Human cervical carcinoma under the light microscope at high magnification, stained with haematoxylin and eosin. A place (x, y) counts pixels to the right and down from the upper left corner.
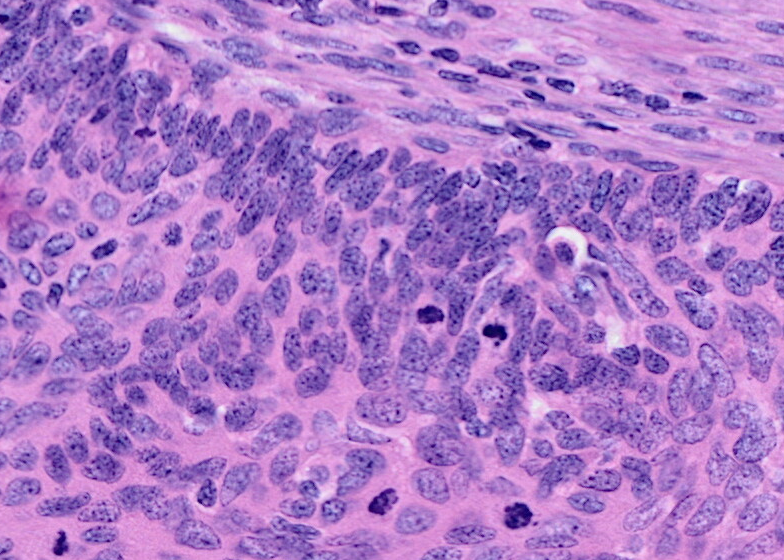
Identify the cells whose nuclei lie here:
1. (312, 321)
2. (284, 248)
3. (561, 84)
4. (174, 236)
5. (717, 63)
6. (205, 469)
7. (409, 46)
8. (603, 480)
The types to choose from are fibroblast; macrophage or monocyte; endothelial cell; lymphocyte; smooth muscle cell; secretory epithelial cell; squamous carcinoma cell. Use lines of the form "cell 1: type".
cell 1: squamous carcinoma cell
cell 2: squamous carcinoma cell
cell 3: lymphocyte
cell 4: squamous carcinoma cell
cell 5: smooth muscle cell
cell 6: squamous carcinoma cell
cell 7: lymphocyte
cell 8: squamous carcinoma cell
